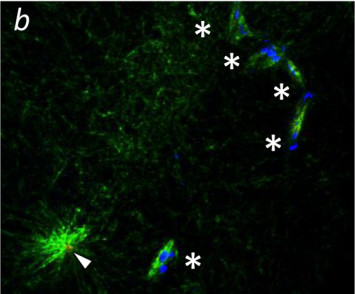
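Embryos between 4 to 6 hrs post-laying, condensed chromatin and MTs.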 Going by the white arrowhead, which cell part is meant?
Centrosomes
